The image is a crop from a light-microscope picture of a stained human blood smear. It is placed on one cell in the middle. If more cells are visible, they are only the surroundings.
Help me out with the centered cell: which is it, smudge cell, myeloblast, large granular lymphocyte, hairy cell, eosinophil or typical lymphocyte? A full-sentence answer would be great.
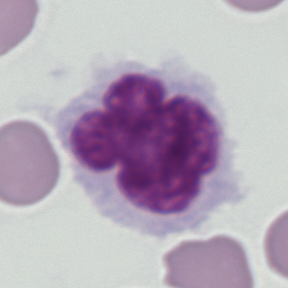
The cell positioned in the middle of the field is a hairy cell.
